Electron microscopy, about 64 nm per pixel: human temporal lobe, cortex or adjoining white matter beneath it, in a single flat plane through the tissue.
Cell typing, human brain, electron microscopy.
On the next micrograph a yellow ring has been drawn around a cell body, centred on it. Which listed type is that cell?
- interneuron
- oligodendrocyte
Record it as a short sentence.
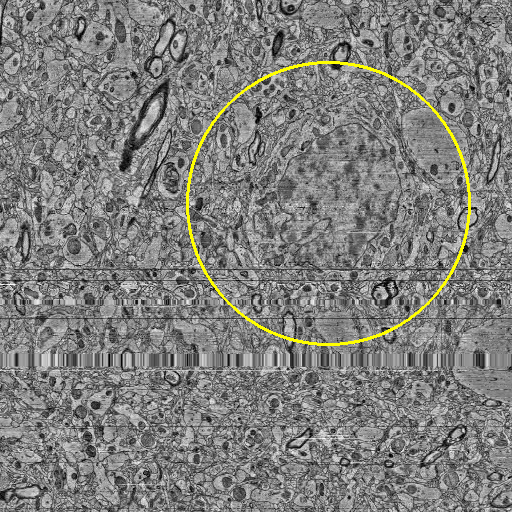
The cell body in the ring's centre belongs to an interneuron.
